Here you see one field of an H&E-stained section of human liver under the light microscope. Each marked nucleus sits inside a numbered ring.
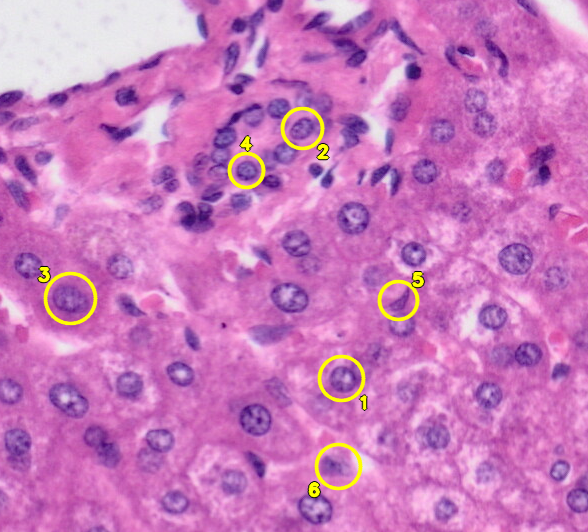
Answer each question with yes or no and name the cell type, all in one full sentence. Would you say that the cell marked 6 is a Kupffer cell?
Yes, the cell labelled with number 6 is a Kupffer cell.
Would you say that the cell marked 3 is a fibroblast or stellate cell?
No, cell 3 is not a fibroblast or stellate cell. It is a hepatocyte.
